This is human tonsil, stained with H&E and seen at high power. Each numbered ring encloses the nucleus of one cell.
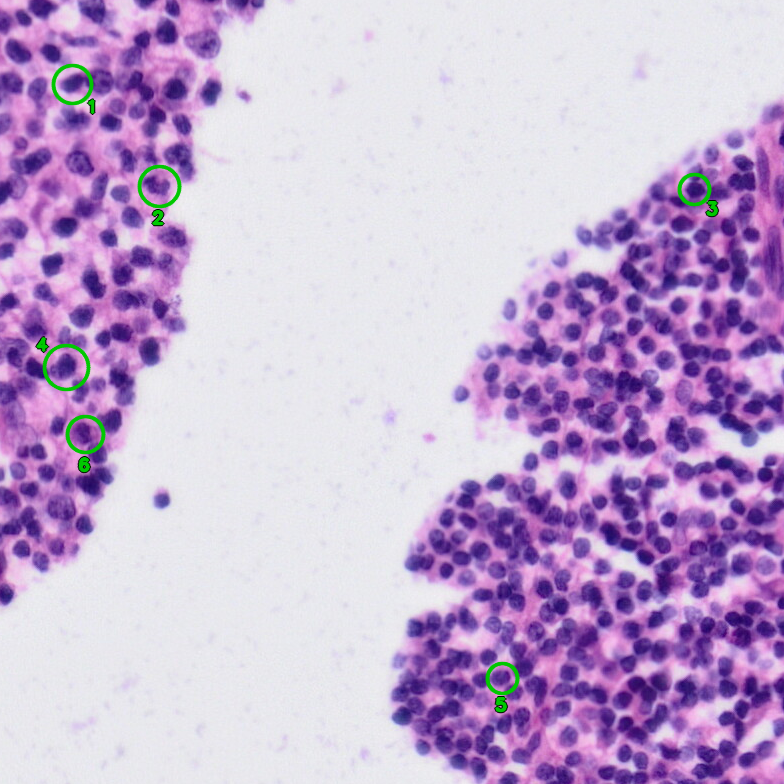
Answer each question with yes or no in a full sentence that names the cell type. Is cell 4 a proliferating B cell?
Yes, the cell at number 4 is a proliferating B cell.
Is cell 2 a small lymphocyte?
No, number 2 is assigned to a proliferating B cell, not to a small lymphocyte.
